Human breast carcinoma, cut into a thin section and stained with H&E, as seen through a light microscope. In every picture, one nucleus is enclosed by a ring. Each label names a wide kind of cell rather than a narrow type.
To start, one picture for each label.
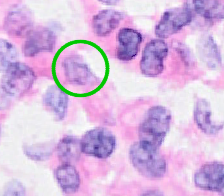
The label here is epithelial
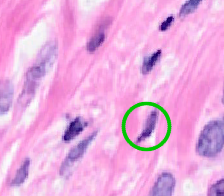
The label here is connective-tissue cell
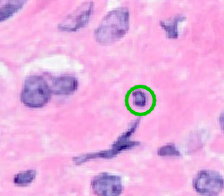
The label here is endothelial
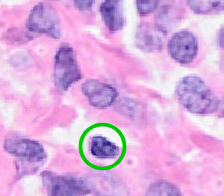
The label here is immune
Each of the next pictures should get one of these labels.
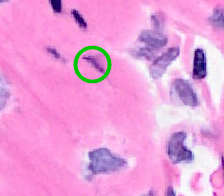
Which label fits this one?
connective-tissue cell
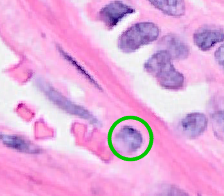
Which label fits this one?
endothelial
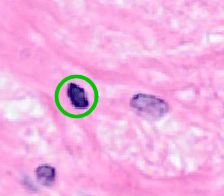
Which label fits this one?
immune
